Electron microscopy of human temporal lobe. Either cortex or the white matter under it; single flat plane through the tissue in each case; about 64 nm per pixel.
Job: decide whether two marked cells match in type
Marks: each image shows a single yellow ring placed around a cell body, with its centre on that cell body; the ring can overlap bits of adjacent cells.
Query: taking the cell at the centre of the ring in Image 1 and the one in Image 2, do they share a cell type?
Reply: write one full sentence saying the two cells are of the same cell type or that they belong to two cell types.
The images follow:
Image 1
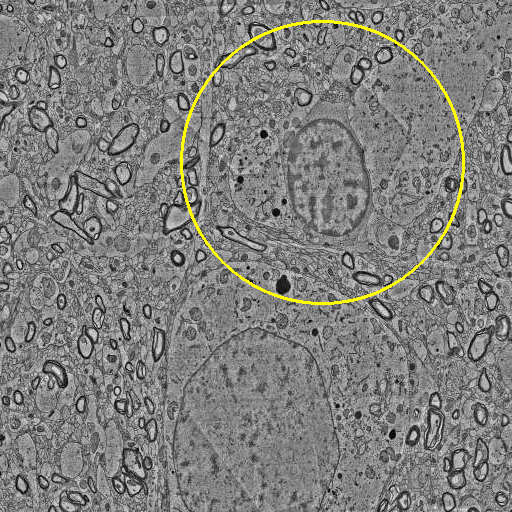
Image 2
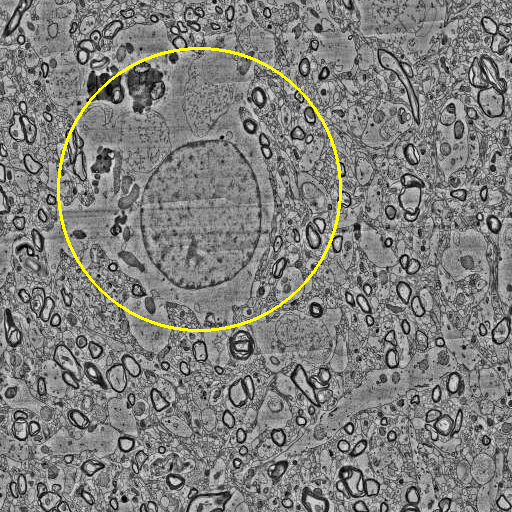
The cells at the ring centres in Image 1 and Image 2 belong to two cell types.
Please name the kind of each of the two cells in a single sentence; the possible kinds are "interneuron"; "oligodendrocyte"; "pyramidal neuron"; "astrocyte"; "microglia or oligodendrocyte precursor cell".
In the first picture the ring is centred on an oligodendrocyte, and in the second on an astrocyte.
